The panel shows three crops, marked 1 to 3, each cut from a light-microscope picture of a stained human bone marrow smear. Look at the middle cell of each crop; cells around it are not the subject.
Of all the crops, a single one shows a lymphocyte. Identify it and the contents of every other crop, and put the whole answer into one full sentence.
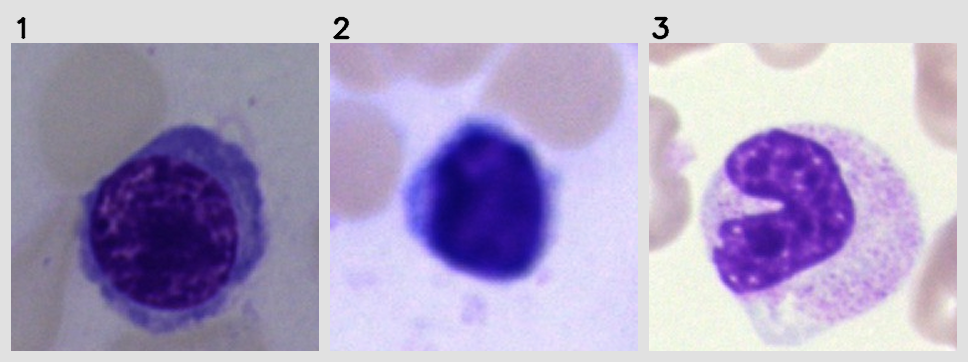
Crop 2 shows a lymphocyte, and as for the other crops, crop 1 is an erythroblast and crop 3 is a band neutrophil.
